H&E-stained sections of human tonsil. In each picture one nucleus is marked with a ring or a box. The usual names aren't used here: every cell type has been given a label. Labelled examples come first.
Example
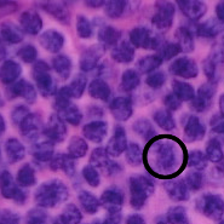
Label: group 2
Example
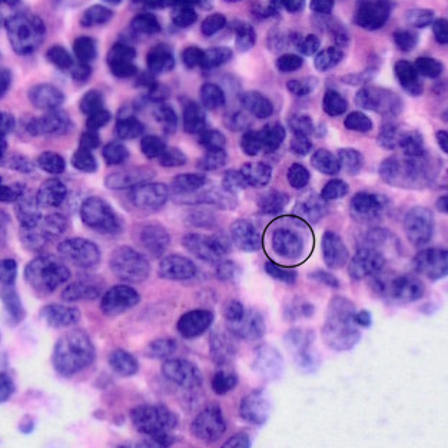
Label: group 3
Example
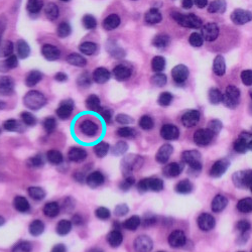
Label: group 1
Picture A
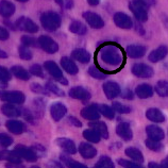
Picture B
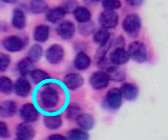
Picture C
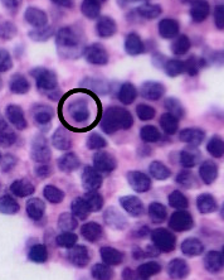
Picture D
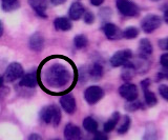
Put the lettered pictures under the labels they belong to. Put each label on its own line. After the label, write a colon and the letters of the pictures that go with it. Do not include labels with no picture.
group 2: B, C
group 3: D
group 1: A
